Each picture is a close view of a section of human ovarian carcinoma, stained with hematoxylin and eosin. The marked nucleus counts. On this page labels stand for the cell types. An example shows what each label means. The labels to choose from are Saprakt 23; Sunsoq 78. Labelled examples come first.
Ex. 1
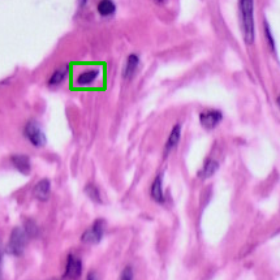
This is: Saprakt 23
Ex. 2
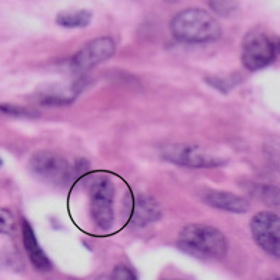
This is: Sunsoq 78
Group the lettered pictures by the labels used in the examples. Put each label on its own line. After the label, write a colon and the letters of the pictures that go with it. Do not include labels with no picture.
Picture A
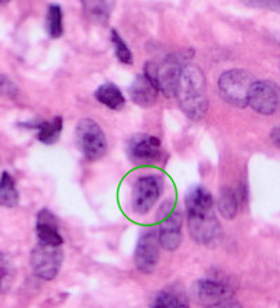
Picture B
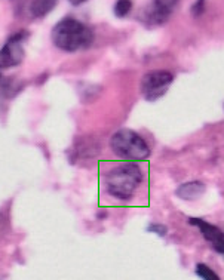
Sunsoq 78: A, B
